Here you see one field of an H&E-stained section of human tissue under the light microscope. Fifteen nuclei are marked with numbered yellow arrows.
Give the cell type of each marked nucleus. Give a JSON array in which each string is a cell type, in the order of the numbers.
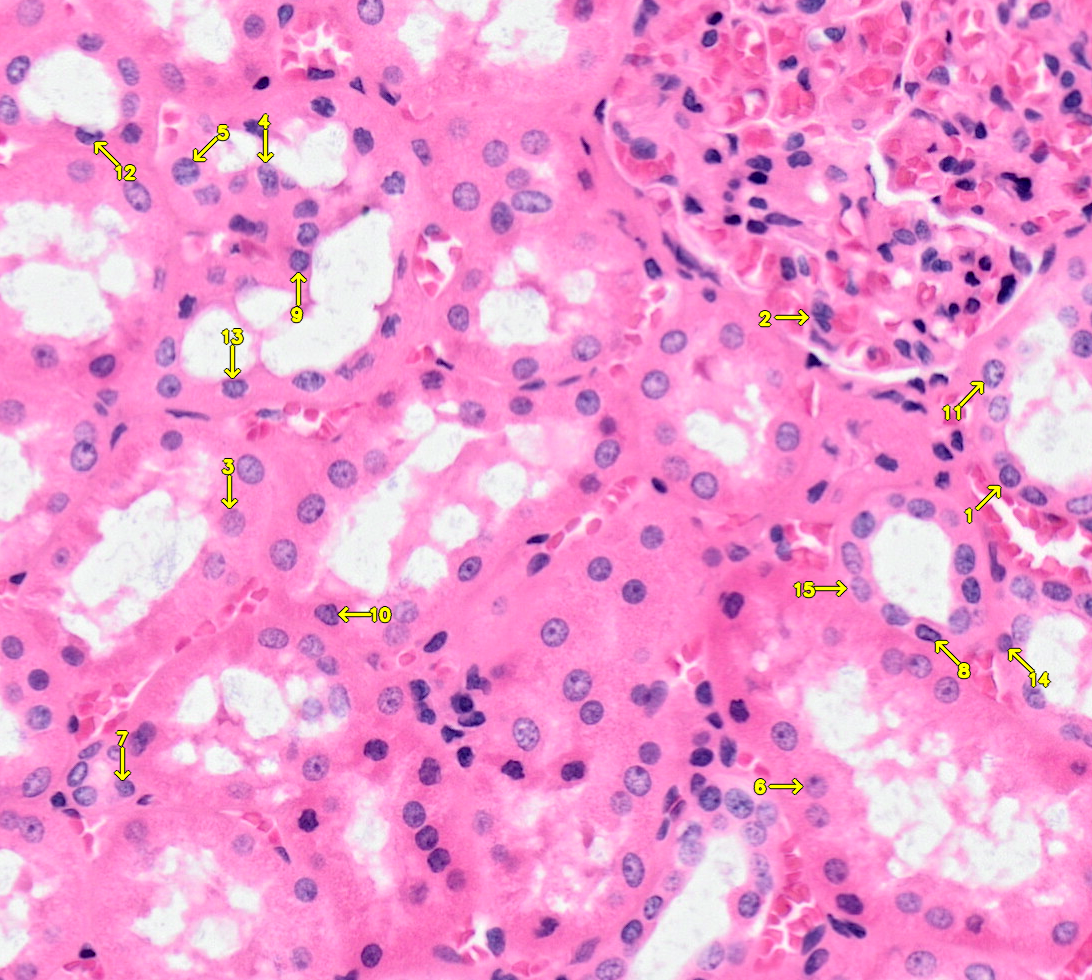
["collecting duct cell", "endothelial cell", "proximal tubule cell", "loop of Henle or distal tubule cell", "loop of Henle or distal tubule cell", "proximal tubule cell", "collecting duct cell", "collecting duct cell", "loop of Henle or distal tubule cell", "proximal tubule cell", "collecting duct cell", "loop of Henle or distal tubule cell", "loop of Henle or distal tubule cell", "collecting duct cell", "collecting duct cell"]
